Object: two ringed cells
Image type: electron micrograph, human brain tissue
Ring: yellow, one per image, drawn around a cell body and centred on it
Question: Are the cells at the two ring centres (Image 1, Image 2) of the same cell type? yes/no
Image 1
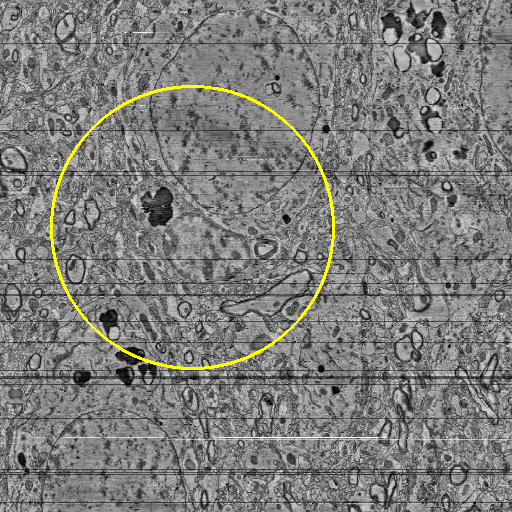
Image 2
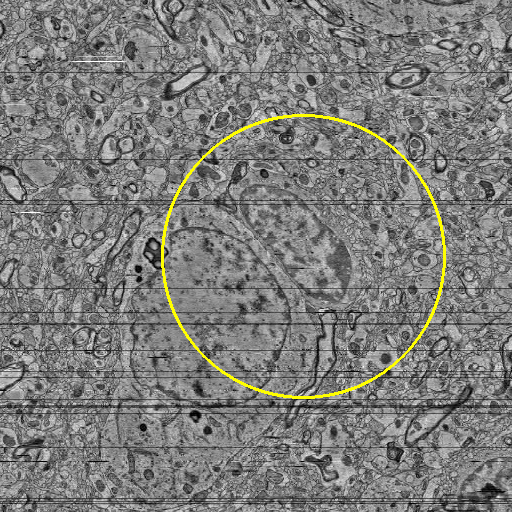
yes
